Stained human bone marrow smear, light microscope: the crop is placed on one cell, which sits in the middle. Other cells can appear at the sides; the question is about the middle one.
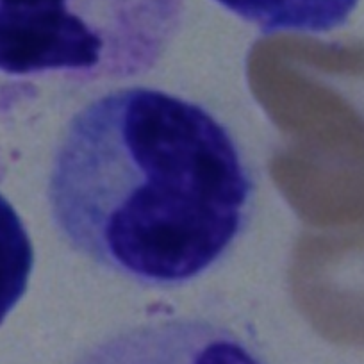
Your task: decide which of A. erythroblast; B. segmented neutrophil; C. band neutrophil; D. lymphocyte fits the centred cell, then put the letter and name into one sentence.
The correct identification, given in option C, is that the central cell is a band neutrophil.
